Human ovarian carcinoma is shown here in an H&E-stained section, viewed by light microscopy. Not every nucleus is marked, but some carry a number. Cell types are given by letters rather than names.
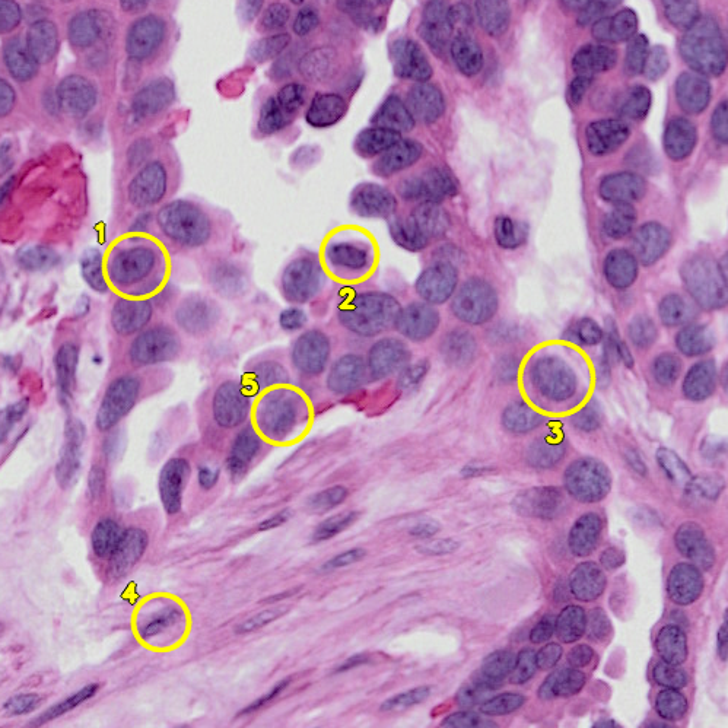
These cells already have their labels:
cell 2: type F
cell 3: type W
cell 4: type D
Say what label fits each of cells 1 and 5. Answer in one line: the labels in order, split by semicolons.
type W; type W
